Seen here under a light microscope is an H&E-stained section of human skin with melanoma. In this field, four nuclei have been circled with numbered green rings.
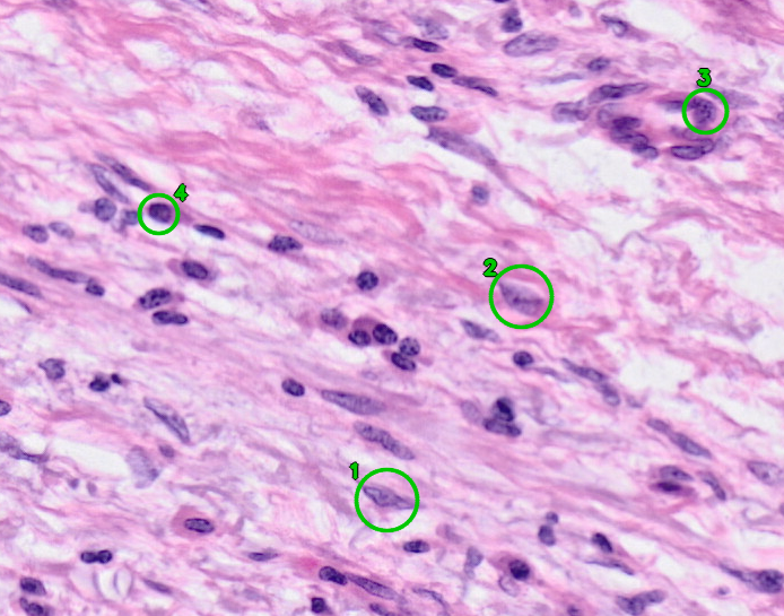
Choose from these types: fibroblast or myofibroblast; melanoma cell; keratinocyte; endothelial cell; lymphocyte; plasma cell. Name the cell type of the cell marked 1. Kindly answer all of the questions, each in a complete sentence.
Marked with the number 1, this cell is a fibroblast or myofibroblast.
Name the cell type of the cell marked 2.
The cell that is numbered 2 is a fibroblast or myofibroblast.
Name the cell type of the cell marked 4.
The cell carrying label 4 is identified as a plasma cell.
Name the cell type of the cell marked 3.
Identified by the number 3, the cell is an endothelial cell.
